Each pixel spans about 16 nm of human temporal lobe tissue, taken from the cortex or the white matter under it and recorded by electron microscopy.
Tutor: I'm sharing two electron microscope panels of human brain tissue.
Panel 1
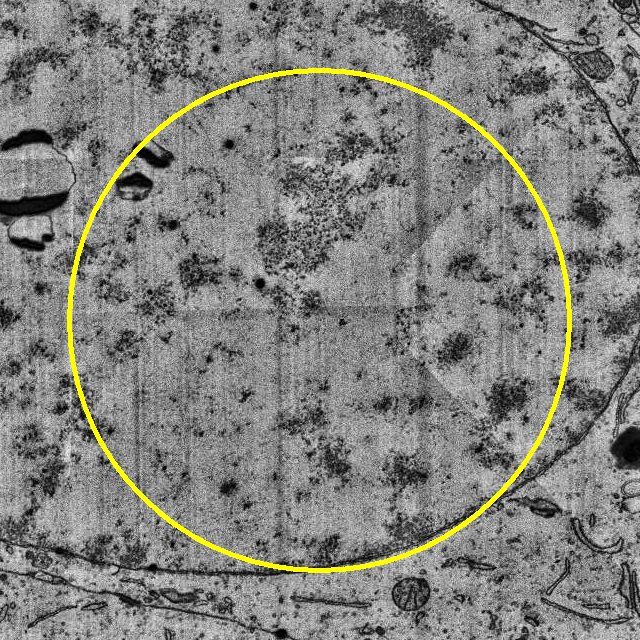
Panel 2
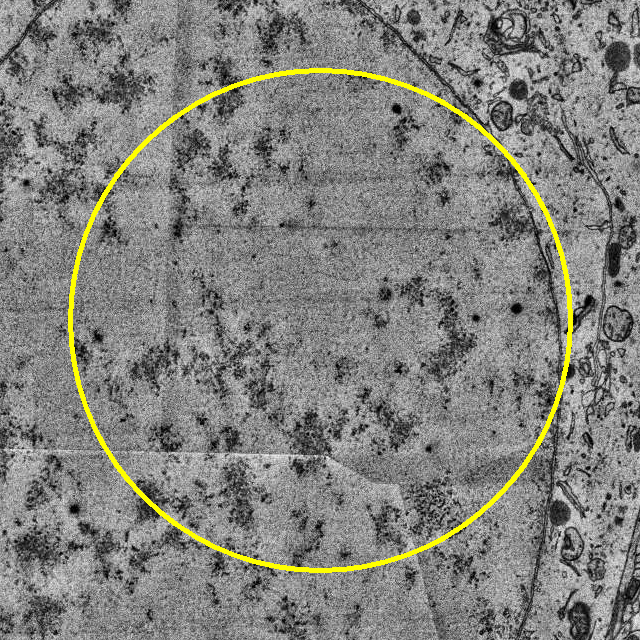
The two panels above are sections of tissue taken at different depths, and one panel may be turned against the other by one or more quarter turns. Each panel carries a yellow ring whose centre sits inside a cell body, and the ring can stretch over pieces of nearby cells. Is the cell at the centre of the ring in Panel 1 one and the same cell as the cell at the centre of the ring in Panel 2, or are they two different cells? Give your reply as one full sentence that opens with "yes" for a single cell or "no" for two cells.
No, the two rings are drawn around two distinct cells.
